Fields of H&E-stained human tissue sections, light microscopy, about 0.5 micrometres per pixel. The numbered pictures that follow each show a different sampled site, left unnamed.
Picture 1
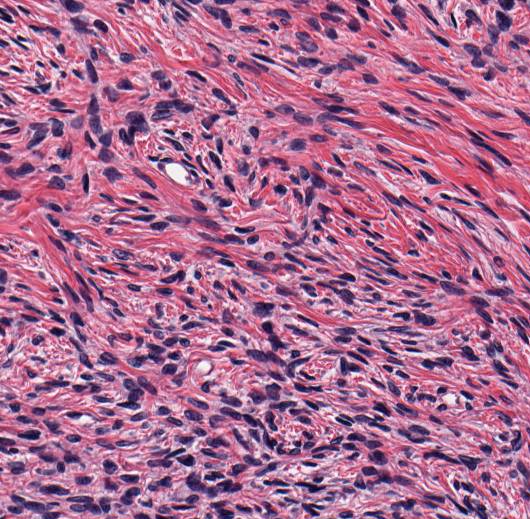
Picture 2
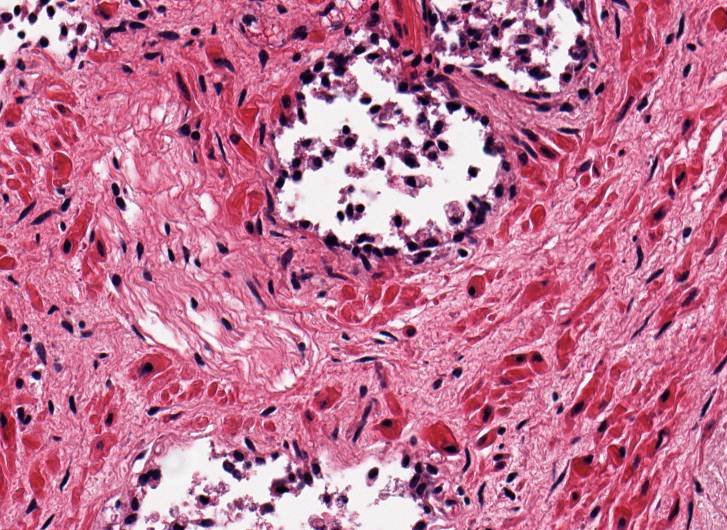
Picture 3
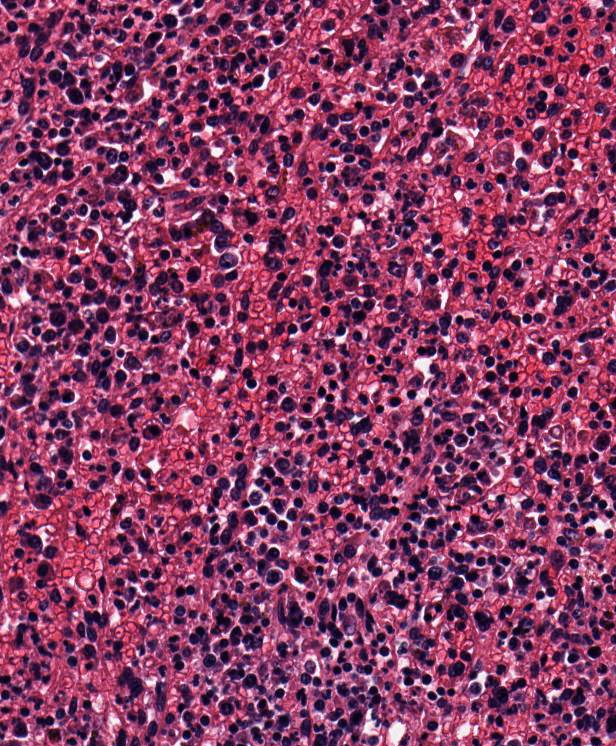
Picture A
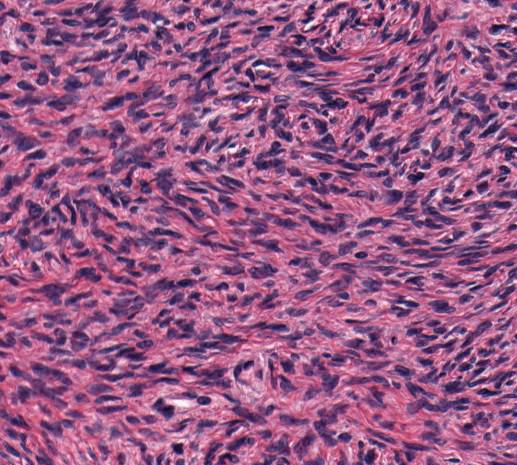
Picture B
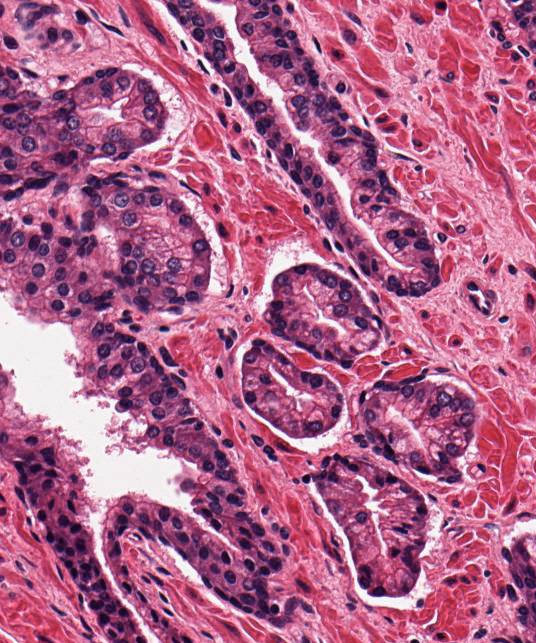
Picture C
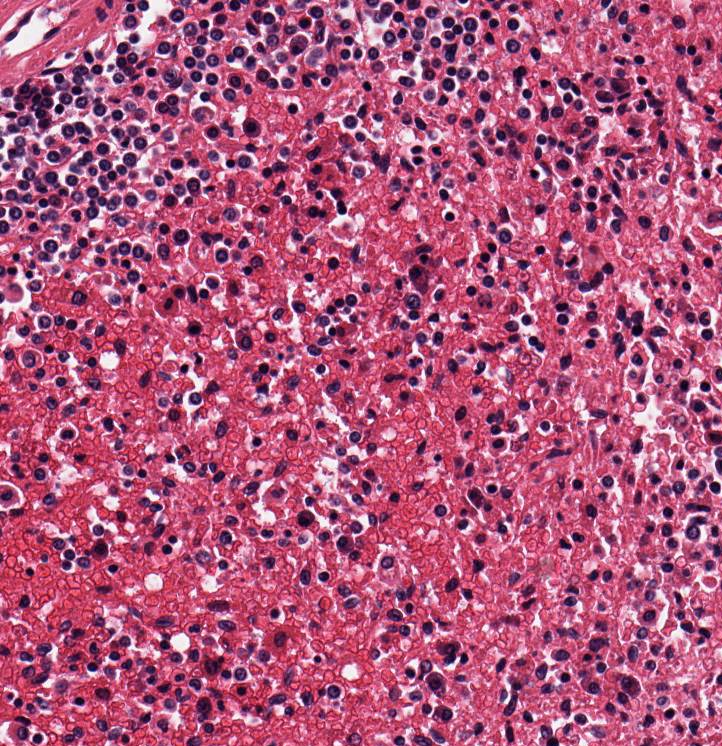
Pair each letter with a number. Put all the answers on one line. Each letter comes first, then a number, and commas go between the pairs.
A 1, B 2, C 3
